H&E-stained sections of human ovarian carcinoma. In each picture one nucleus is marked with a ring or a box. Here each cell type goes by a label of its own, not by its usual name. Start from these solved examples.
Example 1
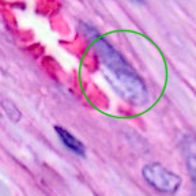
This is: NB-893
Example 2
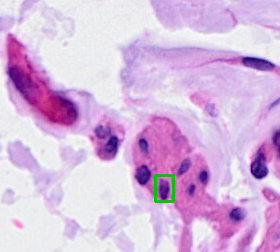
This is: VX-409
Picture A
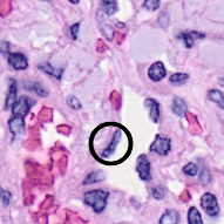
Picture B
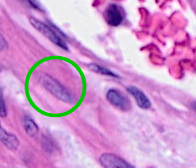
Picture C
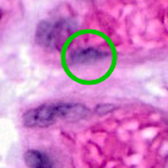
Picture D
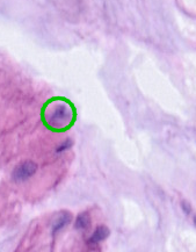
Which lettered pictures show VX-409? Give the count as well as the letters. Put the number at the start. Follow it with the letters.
Count: 2 (B, D)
